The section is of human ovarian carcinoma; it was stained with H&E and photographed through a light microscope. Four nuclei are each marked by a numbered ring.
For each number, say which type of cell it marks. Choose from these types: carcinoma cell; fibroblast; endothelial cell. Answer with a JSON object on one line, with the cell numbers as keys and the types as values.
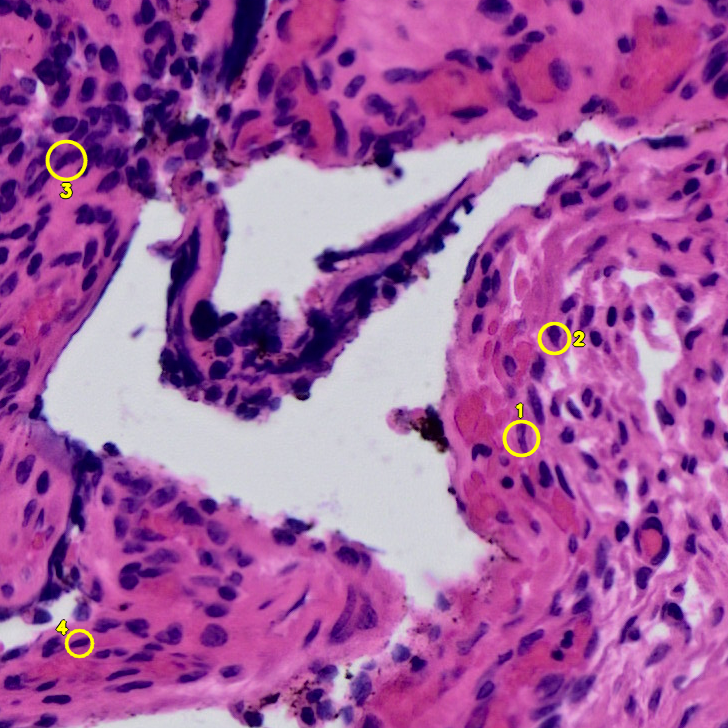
{"1": "fibroblast", "2": "fibroblast", "3": "carcinoma cell", "4": "endothelial cell"}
